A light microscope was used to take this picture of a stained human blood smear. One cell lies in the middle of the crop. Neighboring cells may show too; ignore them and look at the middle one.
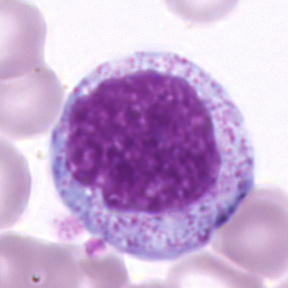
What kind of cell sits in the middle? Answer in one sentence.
The cell the crop is centered on is a promyelocyte.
